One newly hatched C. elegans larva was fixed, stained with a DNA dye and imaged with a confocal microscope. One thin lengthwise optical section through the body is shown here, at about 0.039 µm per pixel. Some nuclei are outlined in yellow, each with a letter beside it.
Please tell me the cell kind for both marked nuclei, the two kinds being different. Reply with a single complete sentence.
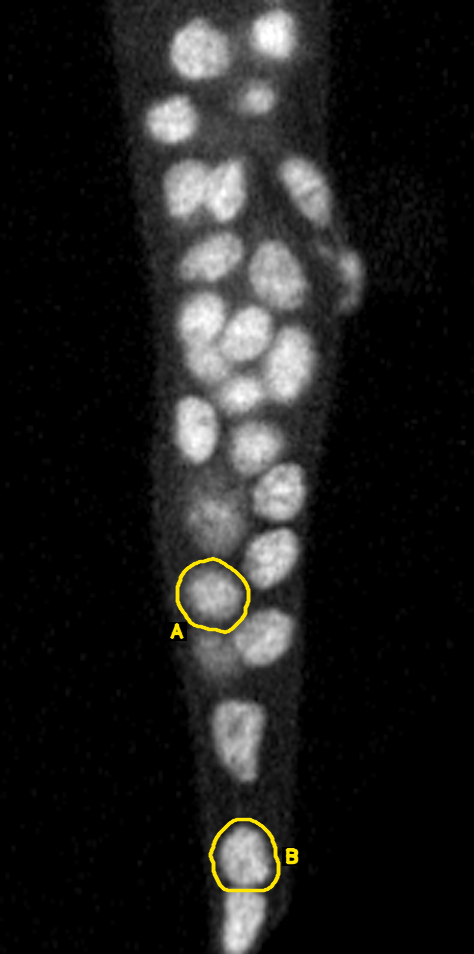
The nucleus A is that of a neuron, while B is that of a hypodermal cell (hyp).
